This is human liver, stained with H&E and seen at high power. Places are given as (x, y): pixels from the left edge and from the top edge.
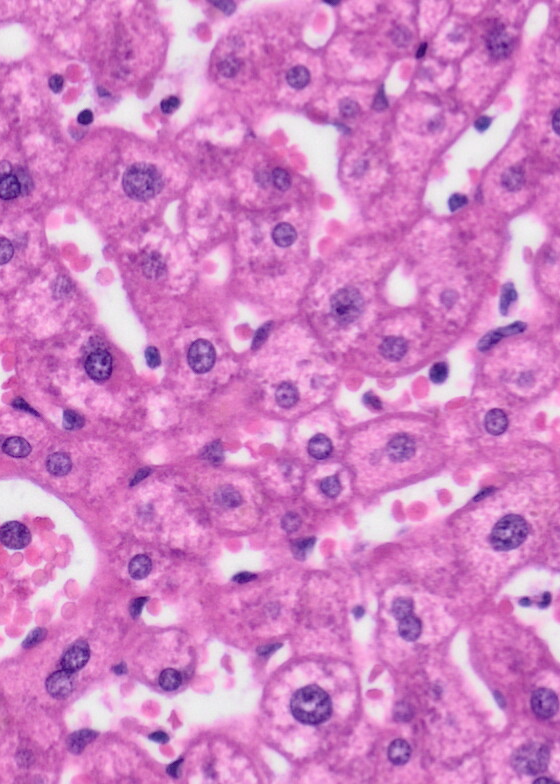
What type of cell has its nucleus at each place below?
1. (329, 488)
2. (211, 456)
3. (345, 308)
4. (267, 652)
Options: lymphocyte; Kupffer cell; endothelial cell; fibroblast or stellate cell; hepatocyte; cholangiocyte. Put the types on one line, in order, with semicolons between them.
hepatocyte; endothelial cell; hepatocyte; Kupffer cell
